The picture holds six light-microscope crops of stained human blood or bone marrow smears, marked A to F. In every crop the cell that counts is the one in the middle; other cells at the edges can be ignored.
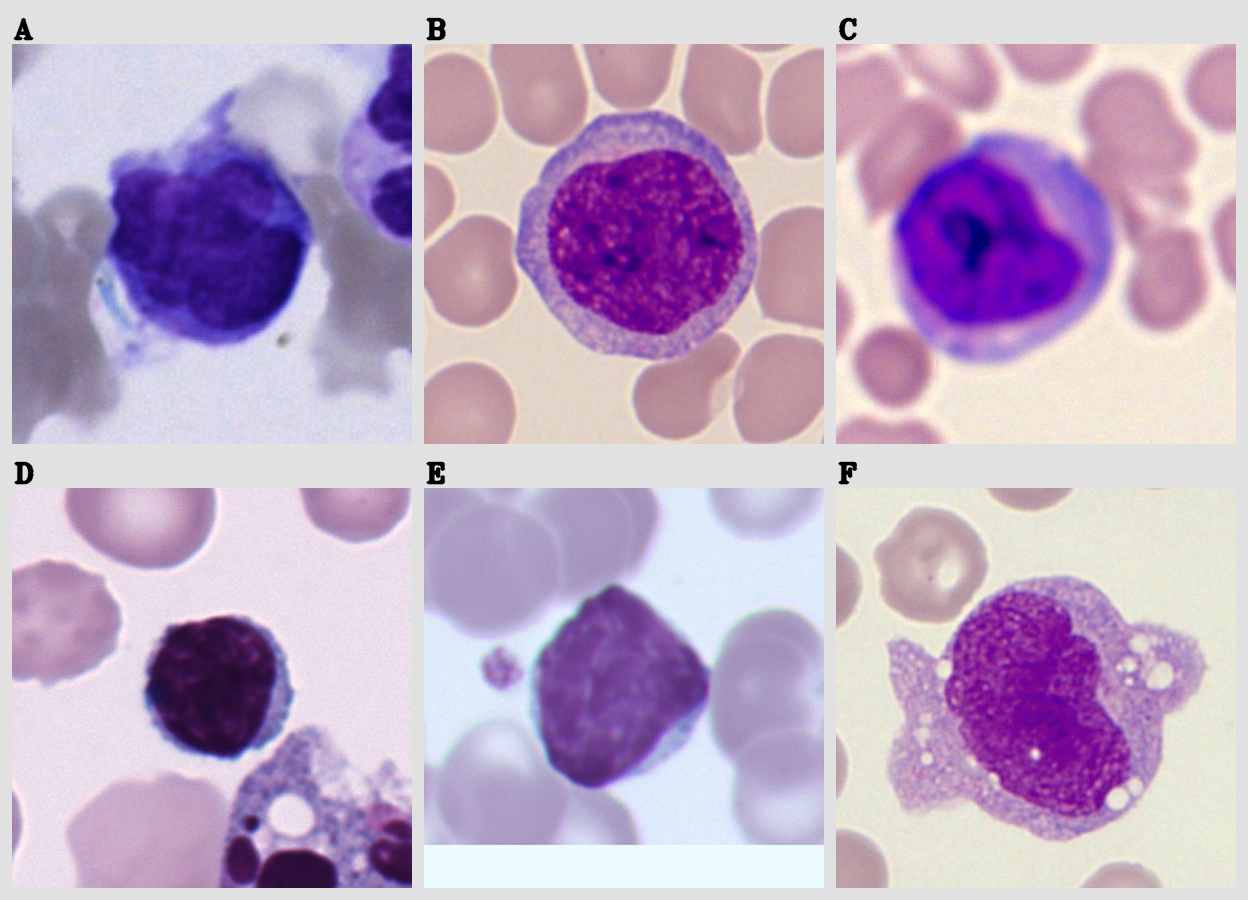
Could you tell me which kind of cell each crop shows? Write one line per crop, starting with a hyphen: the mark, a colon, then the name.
- A: monocyte
- B: monocyte
- C: monocyte
- D: lymphocyte
- E: lymphocyte
- F: monocyte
